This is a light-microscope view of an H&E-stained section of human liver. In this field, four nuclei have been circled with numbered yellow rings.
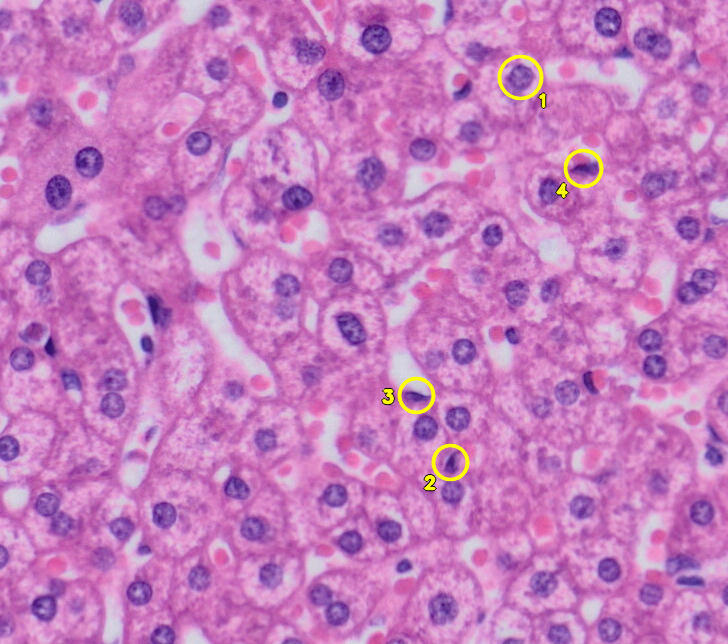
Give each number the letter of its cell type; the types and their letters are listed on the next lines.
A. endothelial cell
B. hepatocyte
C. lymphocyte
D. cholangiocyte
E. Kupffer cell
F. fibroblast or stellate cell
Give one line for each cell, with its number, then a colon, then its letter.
1: B
2: A
3: A
4: A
